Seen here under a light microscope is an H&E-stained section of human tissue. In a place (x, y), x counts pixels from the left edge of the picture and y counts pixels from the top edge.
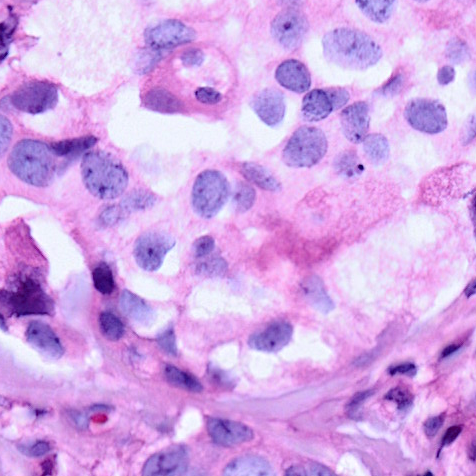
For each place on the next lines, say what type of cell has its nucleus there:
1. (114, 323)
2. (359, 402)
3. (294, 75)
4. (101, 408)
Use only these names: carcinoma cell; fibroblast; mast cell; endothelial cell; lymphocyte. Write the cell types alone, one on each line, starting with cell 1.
carcinoma cell
fibroblast
carcinoma cell
endothelial cell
